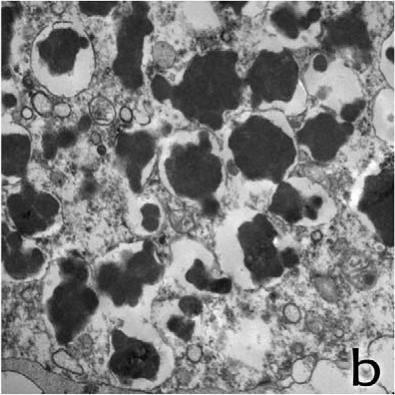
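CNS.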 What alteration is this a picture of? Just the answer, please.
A: Neuronal accumulation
